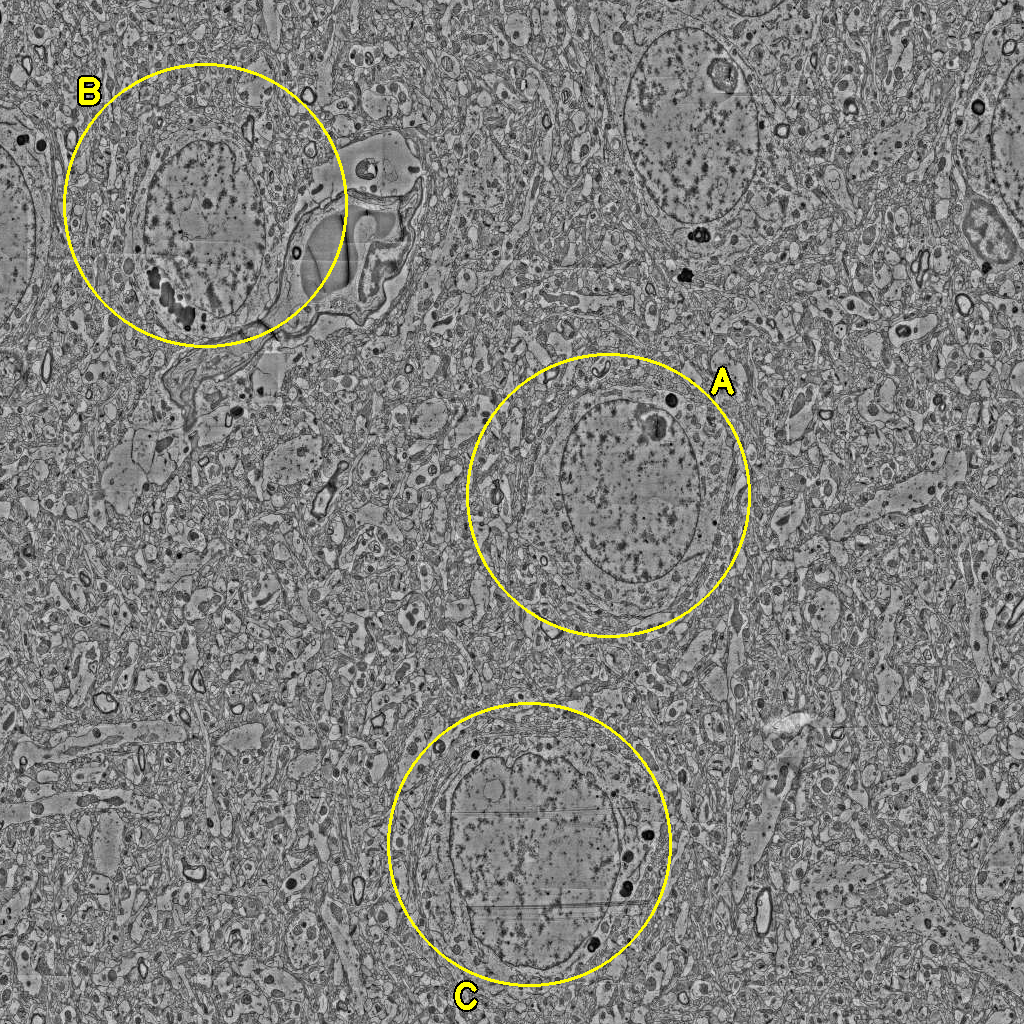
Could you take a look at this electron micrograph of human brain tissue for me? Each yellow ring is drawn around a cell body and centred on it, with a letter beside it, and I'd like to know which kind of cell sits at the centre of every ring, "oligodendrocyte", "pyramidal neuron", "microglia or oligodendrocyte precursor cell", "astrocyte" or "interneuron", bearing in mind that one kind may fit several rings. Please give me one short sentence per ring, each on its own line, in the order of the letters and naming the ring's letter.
Ring A is centred on a pyramidal neuron.
Ring B is centred on an interneuron.
Ring C is centred on a pyramidal neuron.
